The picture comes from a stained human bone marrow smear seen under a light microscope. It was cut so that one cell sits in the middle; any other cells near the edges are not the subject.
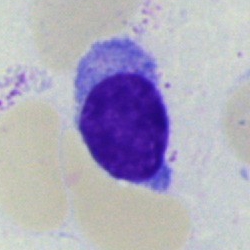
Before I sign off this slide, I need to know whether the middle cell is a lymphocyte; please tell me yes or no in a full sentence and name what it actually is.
Yes, in the middle of the crop is a lymphocyte.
